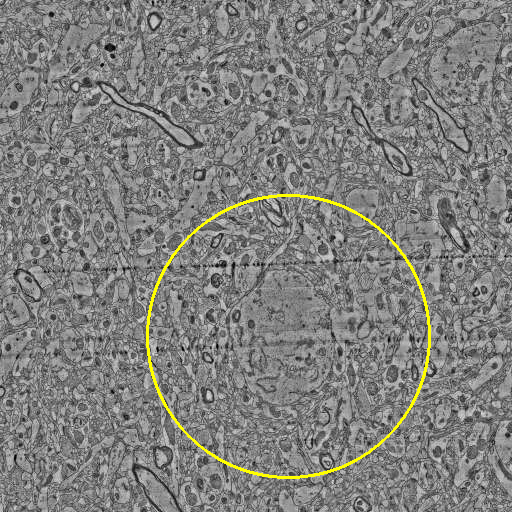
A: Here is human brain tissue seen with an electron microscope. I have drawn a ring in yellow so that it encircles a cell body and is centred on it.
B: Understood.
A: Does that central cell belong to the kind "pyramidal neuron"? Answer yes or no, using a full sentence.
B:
Yes, the central cell inside your yellow ring belongs to that kind.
